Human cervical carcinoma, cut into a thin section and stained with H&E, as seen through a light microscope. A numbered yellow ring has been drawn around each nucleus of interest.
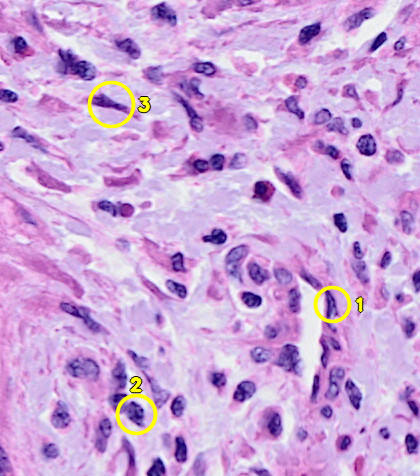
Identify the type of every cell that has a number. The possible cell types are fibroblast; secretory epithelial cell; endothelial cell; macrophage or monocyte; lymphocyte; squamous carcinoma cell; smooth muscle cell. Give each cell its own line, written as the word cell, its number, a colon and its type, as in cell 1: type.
cell 1: endothelial cell
cell 2: lymphocyte
cell 3: fibroblast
